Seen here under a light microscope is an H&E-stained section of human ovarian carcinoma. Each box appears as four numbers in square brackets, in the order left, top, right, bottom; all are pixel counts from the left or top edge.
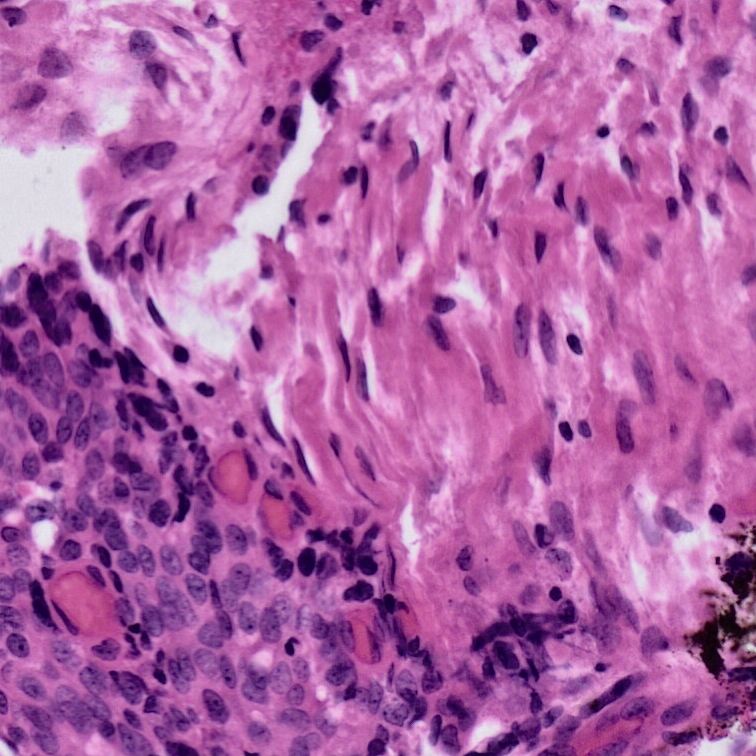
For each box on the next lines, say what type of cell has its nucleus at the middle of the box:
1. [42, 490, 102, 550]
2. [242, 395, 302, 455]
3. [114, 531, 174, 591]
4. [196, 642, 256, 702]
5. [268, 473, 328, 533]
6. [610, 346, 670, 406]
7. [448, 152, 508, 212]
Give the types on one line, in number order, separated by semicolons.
carcinoma cell; fibroblast; carcinoma cell; carcinoma cell; endothelial cell; fibroblast; fibroblast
